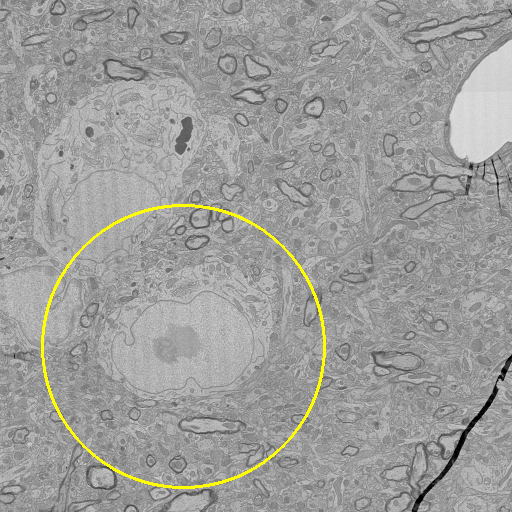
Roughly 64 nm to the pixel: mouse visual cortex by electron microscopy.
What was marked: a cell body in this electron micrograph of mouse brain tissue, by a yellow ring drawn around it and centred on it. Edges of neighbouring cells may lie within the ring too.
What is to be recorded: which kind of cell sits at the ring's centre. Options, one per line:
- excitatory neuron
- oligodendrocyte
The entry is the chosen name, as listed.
excitatory neuron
